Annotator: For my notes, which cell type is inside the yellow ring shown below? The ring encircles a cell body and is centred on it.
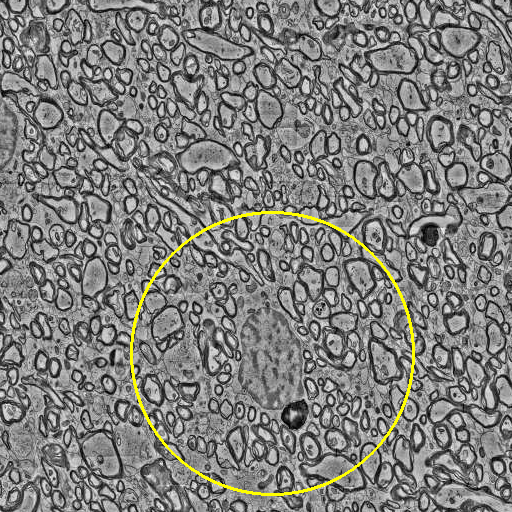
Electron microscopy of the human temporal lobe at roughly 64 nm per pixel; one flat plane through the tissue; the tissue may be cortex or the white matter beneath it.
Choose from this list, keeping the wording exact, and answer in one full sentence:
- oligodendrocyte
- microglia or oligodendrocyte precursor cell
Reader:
At the centre of the yellow ring there is an oligodendrocyte, as shown in the picture.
